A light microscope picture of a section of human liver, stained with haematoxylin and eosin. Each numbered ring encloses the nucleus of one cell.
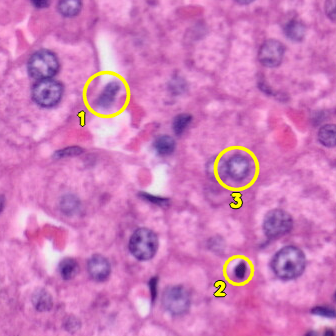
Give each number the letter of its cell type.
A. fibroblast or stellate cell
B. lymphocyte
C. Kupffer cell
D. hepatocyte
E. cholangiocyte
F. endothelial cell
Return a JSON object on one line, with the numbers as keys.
{"1": "C", "2": "B", "3": "D"}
